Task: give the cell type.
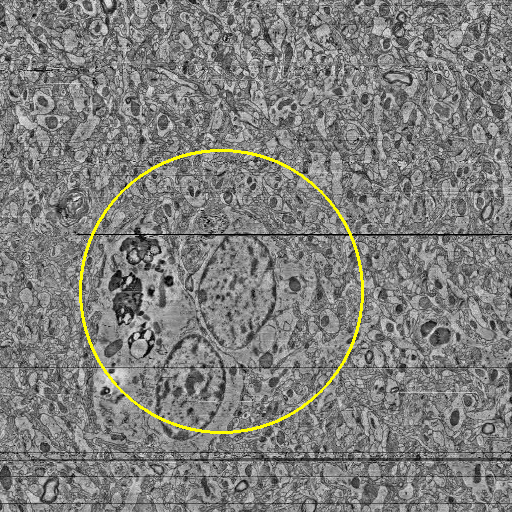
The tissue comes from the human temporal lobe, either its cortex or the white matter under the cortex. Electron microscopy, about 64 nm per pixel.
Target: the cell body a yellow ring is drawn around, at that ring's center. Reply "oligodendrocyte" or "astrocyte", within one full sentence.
In this picture, the cell whose body lies at the ring's center is an astrocyte.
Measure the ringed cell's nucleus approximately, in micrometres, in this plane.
The nucleus measures about 8 by 5 micrometres, so it is clearly longer than it is wide in this plane.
